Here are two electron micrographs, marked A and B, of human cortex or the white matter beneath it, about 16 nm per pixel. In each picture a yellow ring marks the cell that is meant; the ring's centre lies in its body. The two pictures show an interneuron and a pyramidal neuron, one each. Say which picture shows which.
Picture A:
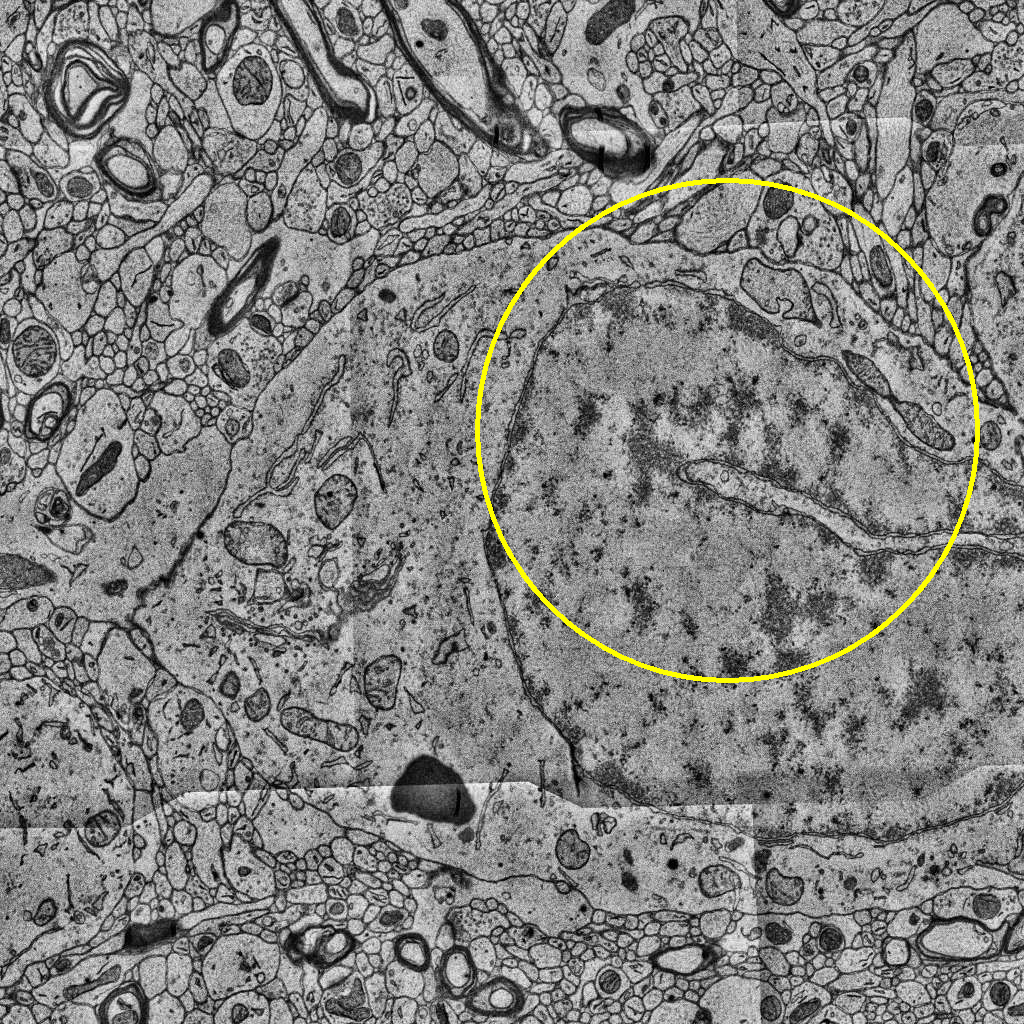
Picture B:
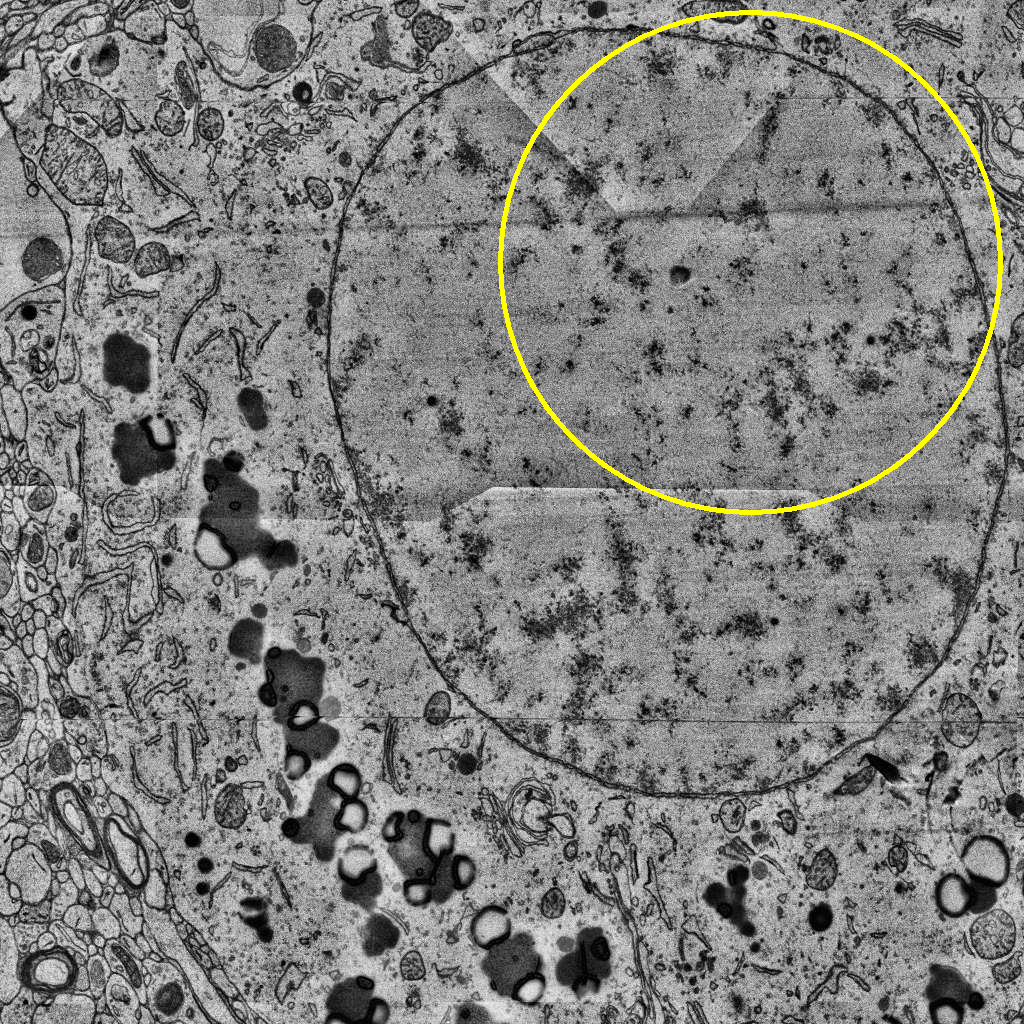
The cell in picture A is an interneuron, and the one in picture B is a pyramidal neuron.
